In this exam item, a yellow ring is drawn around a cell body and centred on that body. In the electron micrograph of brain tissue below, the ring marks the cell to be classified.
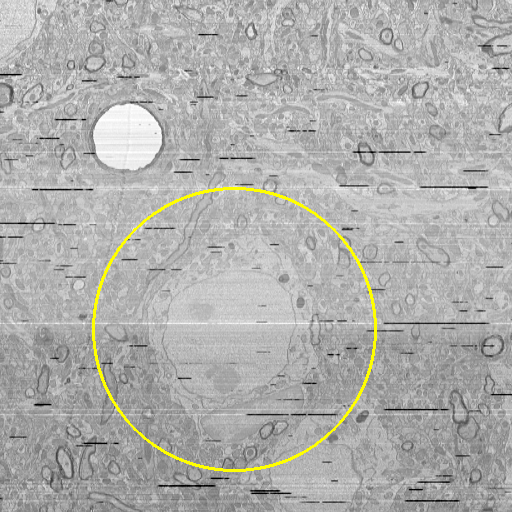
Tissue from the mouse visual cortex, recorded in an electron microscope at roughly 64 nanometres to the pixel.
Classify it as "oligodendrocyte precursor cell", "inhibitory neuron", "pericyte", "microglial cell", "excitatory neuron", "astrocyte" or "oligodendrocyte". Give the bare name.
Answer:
excitatory neuron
